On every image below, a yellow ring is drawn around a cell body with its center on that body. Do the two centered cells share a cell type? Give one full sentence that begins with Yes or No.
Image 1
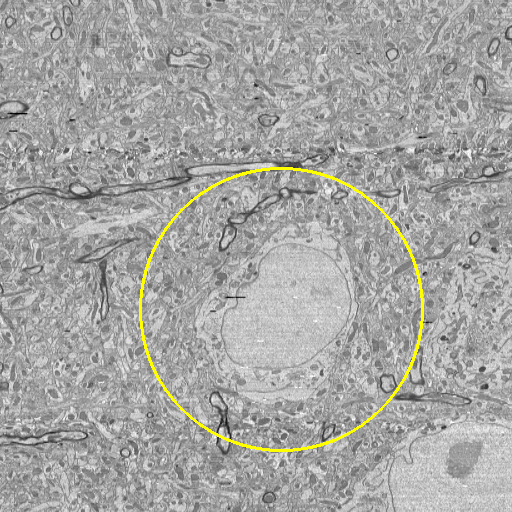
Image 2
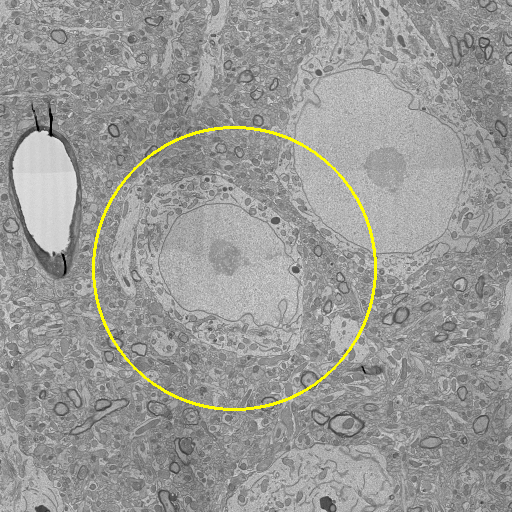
No, the centered cells in the two images are of two separate cell types.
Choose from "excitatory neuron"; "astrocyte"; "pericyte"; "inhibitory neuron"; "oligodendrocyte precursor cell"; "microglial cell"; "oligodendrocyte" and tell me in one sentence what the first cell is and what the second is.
What the first ring is centred on is an excitatory neuron; what the second ring is centred on is an inhibitory neuron.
